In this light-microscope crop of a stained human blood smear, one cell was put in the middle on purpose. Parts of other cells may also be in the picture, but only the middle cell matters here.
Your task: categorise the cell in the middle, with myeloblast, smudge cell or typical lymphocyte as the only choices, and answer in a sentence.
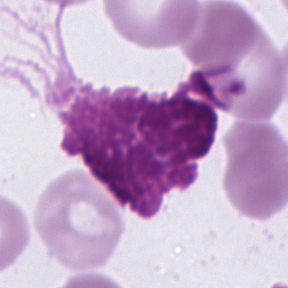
The central cell shown in this smear crop is a smudge cell.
